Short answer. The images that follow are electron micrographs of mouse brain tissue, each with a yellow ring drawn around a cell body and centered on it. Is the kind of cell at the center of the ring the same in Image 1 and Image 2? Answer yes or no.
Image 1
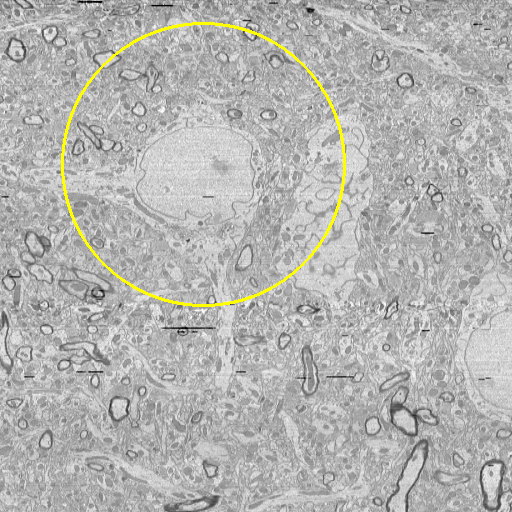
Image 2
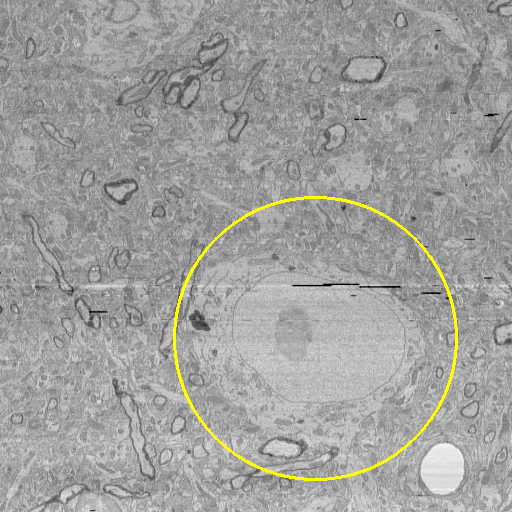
yes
